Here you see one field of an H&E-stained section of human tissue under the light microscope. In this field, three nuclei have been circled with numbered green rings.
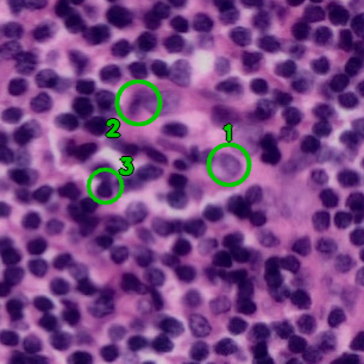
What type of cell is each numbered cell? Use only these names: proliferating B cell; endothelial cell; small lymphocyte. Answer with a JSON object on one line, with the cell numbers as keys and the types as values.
{"1": "endothelial cell", "2": "endothelial cell", "3": "small lymphocyte"}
